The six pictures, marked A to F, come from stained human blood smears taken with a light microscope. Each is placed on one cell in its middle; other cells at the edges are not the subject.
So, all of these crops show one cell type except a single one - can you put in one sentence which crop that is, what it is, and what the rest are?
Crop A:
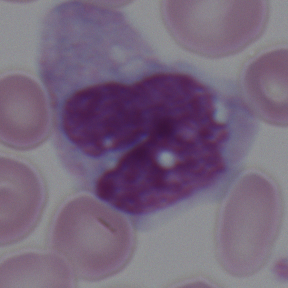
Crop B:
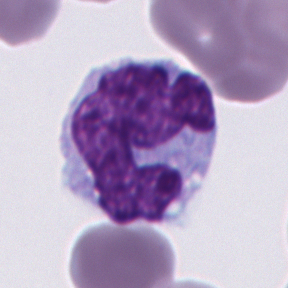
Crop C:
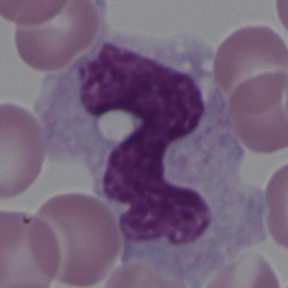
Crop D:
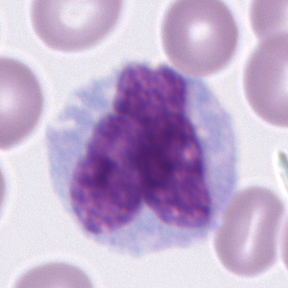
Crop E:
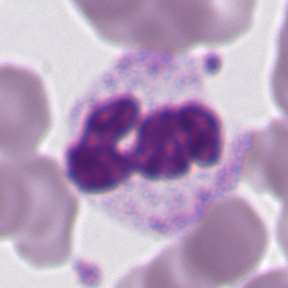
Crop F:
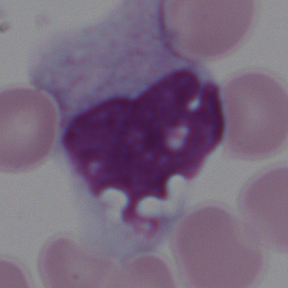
Crop E is the odd one out, being a segmented neutrophil, while all the other crops show monocytes.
